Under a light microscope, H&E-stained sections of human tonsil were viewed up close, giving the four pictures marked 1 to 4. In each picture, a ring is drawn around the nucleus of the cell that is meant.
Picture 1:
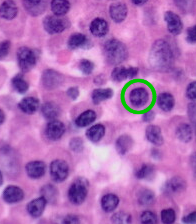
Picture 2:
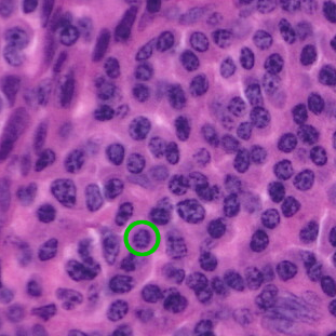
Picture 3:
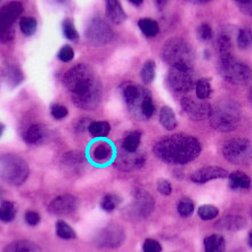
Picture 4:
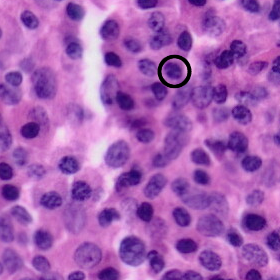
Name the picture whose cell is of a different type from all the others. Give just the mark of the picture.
3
